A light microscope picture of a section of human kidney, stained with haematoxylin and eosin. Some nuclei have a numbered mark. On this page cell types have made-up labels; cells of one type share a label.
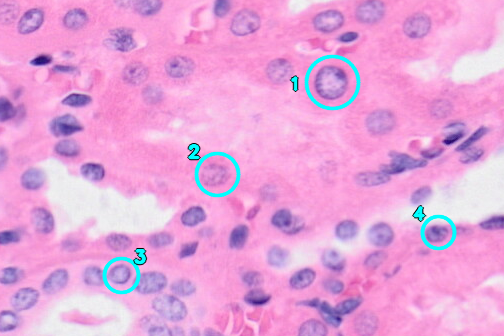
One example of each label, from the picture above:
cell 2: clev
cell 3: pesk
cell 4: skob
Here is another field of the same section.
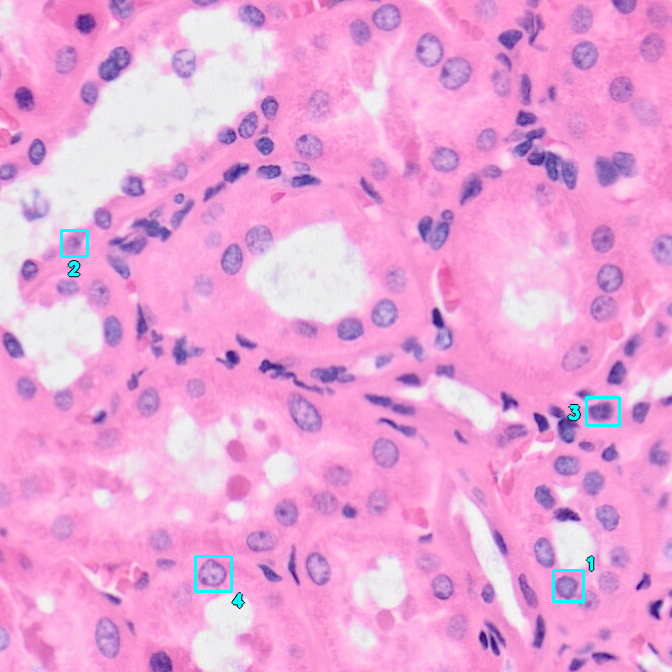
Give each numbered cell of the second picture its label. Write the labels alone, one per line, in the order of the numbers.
skob
skob
pesk
clev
